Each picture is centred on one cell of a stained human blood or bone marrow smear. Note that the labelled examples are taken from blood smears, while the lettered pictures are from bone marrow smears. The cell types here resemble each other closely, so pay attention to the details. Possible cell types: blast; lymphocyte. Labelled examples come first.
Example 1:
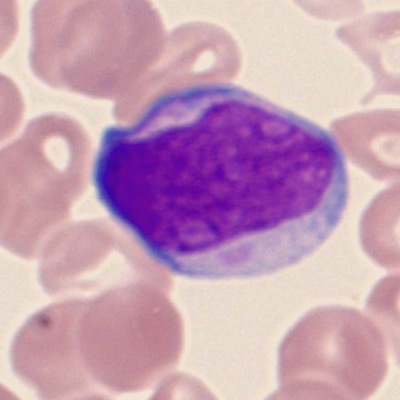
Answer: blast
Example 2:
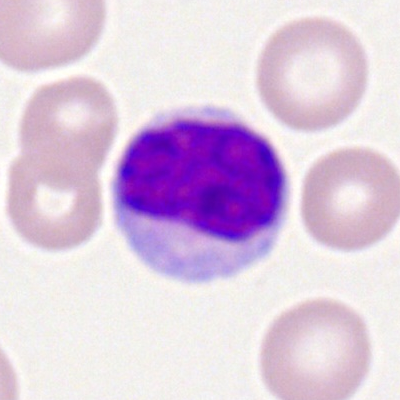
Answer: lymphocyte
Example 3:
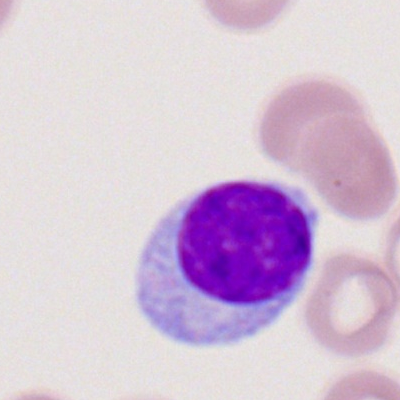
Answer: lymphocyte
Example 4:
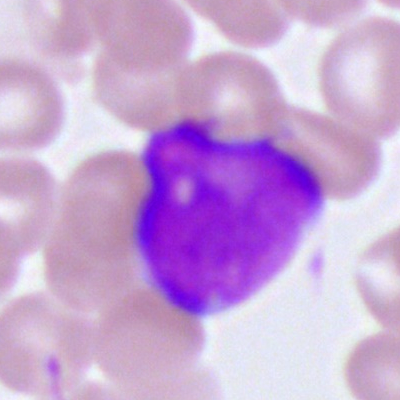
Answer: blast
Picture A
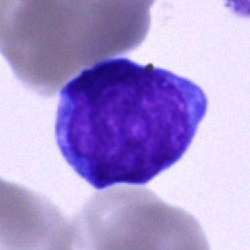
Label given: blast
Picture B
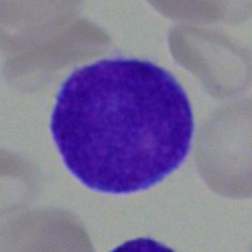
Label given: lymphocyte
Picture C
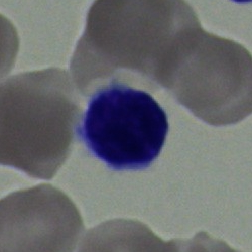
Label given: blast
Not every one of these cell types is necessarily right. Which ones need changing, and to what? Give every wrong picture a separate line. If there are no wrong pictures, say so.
B should be blast, not lymphocyte
C should be lymphocyte, not blast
